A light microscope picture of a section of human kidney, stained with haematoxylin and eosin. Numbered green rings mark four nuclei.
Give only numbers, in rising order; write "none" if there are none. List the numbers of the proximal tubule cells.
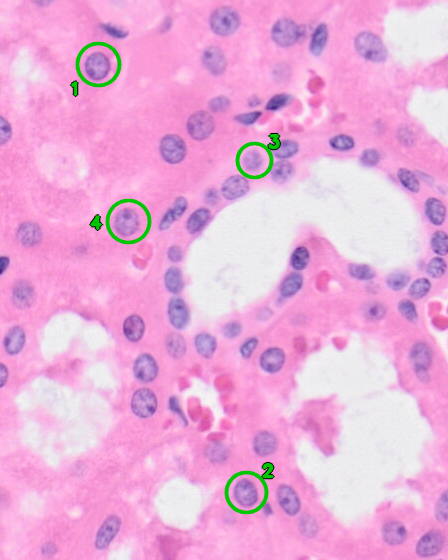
1, 2, 4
